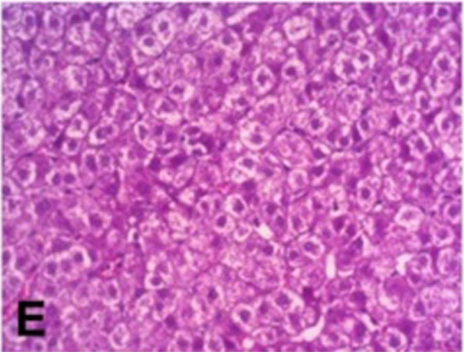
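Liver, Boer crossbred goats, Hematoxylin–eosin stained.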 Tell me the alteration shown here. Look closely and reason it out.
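Hepatocyte swelling. Cells are enlarged and rounded with pale, clumped, clear-spaced cytoplasm. The spaces between cell plates are hardly visible.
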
